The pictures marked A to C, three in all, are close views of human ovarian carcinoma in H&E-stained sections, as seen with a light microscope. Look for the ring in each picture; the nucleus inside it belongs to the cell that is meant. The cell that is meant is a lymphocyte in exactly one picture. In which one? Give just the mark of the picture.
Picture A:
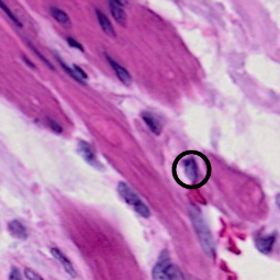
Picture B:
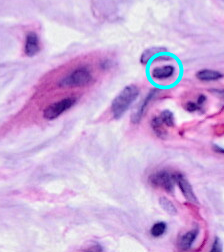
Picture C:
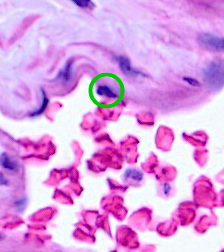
B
